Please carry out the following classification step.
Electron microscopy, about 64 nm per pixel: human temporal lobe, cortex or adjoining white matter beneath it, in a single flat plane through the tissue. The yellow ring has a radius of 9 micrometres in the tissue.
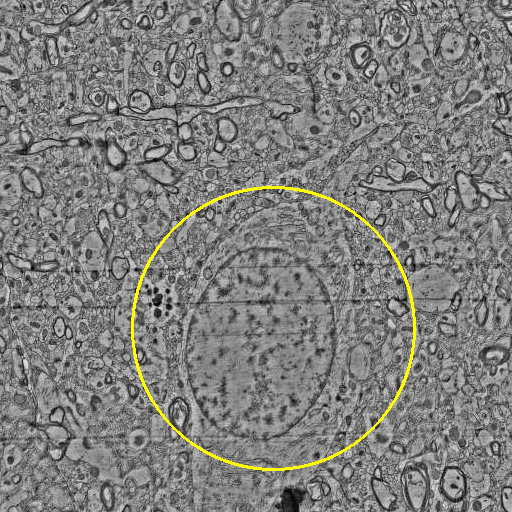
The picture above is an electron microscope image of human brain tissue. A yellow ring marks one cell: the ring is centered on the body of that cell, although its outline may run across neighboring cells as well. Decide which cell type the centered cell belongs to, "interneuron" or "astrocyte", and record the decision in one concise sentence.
The cell centered in the yellow ring is an interneuron.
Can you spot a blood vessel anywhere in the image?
No.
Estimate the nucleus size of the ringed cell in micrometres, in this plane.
The nucleus has a long axis of about 12 micrometres and a short axis of about 10 micrometres in this plane.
